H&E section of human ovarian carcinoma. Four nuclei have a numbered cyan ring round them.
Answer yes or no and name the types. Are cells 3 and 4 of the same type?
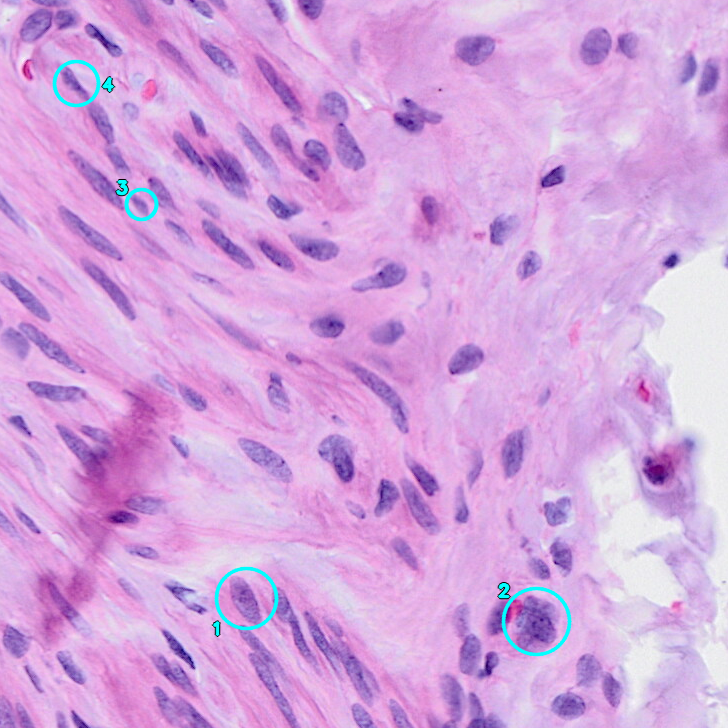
Yes, cells 3 and 4 are both identified as smooth muscle cells.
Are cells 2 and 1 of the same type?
No, with respect, cell 2 is an endothelial cell and cell 1 is a smooth muscle cell.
